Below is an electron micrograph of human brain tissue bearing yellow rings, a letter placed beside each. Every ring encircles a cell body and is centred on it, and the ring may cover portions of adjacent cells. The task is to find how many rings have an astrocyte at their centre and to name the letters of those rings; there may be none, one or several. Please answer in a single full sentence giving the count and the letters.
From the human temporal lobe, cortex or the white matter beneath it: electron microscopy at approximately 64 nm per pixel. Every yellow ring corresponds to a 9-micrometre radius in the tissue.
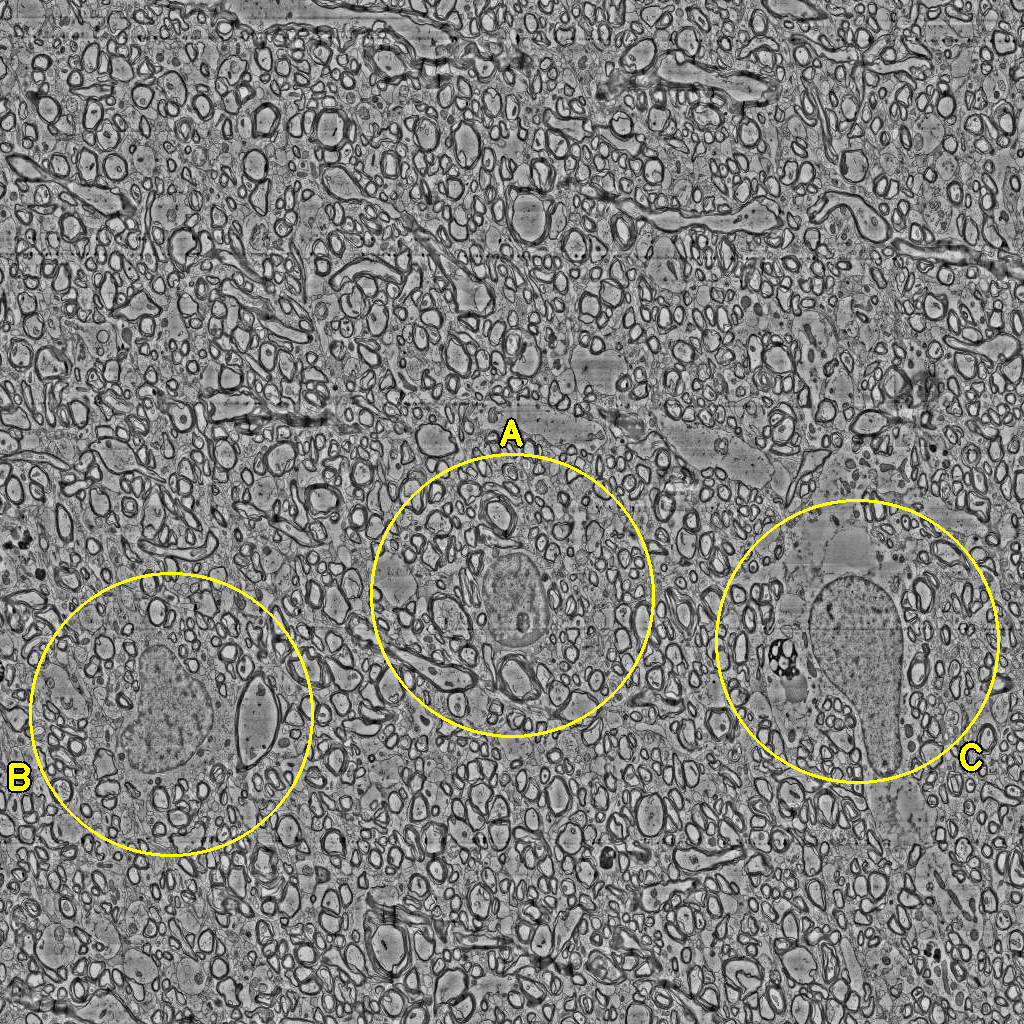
There is just one ring centred on an astrocyte, and the letter beside it is C.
